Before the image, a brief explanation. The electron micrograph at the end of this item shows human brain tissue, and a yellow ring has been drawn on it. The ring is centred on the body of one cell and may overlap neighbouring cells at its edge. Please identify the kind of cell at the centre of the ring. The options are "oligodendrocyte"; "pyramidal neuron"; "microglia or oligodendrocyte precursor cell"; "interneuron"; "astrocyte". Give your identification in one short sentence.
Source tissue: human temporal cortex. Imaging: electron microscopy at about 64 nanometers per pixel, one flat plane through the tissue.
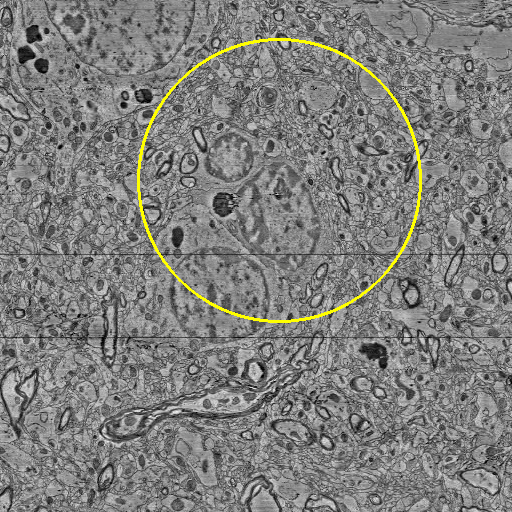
The ring has been placed around an oligodendrocyte.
